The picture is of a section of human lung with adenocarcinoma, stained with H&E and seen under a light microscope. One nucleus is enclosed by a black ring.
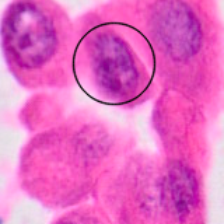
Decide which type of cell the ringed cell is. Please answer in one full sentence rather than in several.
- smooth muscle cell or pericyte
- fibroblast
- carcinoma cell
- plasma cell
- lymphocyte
In cell-type terms, the ringed cell is a carcinoma cell.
